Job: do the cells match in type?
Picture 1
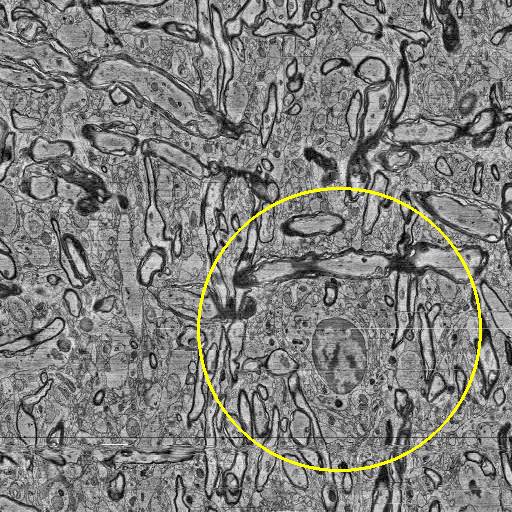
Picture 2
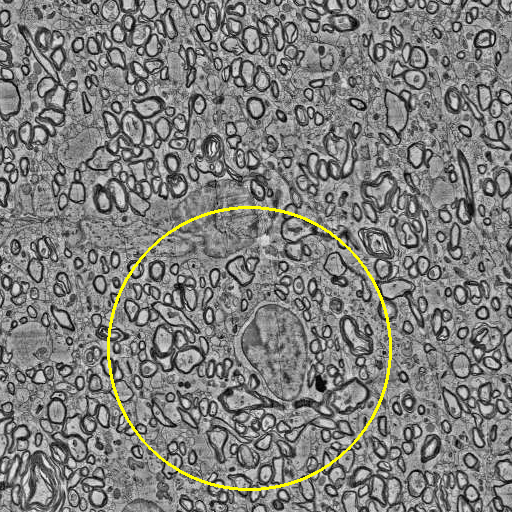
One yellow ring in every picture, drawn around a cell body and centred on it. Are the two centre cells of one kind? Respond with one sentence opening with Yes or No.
Yes, the ringed cells in the two pictures are of one and the same kind.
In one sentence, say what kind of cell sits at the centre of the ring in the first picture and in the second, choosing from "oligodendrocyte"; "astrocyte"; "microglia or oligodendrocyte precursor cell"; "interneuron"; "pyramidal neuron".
Each cell at the centre of a ring is a microglial cell or oligodendrocyte precursor cell.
